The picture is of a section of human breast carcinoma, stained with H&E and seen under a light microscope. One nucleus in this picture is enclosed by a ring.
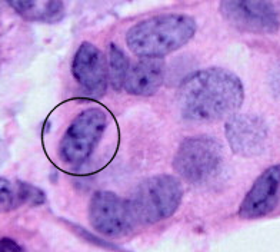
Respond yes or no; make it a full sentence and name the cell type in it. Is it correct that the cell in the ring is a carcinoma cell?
Yes, the cell in the ring in this section represents a carcinoma cell.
